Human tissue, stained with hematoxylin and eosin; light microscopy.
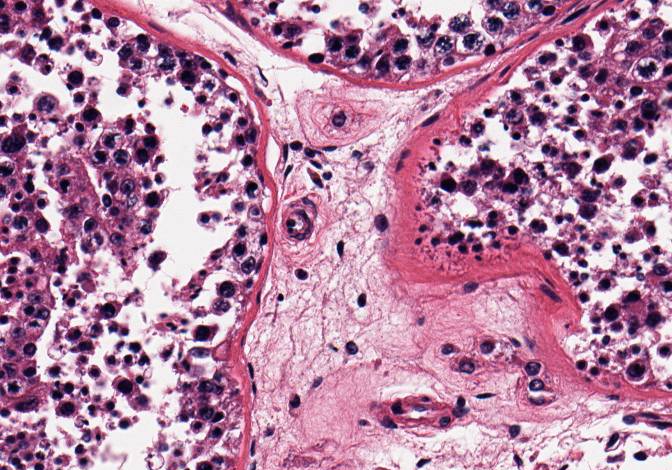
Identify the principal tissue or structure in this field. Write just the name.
seminiferous tubule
